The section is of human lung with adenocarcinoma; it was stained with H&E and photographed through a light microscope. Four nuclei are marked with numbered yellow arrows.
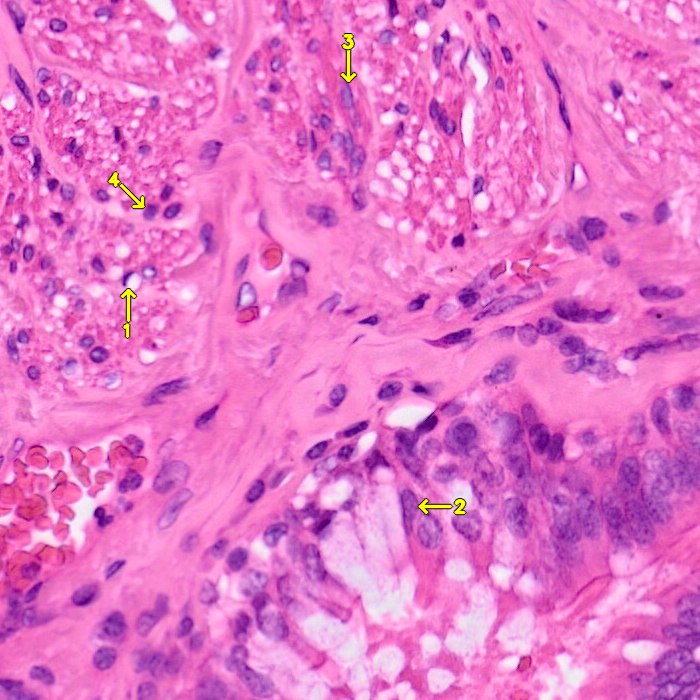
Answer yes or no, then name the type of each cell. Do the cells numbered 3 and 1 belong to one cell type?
Yes, cells 3 and 1 are both identified as smooth muscle cells or pericytes.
